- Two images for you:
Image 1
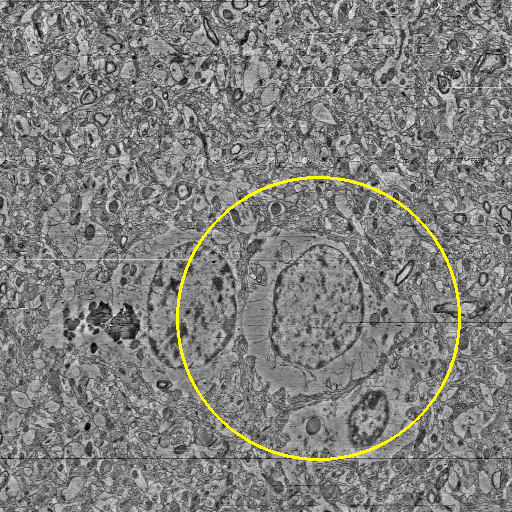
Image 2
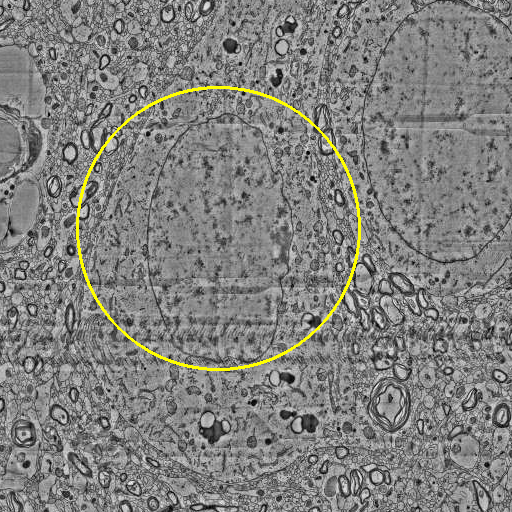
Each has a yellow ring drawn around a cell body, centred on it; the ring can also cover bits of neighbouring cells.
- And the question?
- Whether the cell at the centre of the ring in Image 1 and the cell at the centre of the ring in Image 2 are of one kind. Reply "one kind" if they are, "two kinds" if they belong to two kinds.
two kinds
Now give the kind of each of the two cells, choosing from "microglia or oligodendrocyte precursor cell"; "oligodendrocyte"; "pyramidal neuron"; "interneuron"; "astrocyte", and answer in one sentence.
The cell in the first picture is an astrocyte, and the cell in the second is a pyramidal neuron.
